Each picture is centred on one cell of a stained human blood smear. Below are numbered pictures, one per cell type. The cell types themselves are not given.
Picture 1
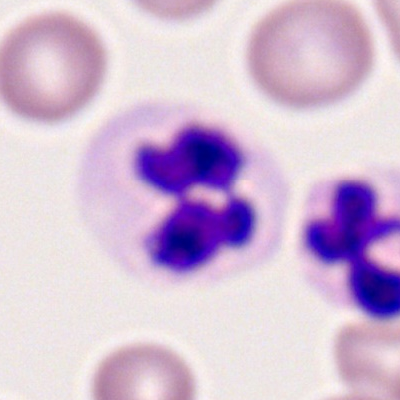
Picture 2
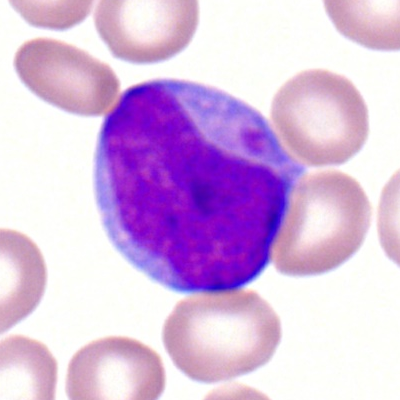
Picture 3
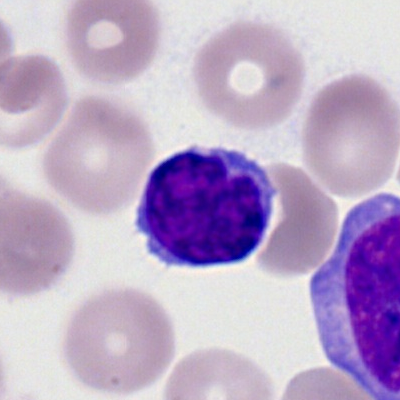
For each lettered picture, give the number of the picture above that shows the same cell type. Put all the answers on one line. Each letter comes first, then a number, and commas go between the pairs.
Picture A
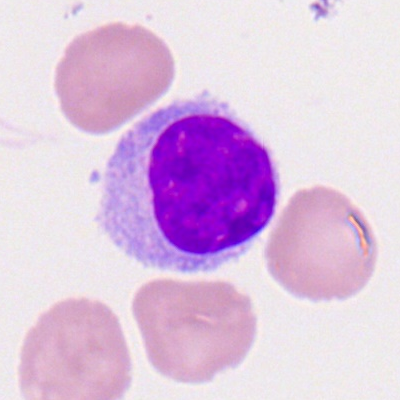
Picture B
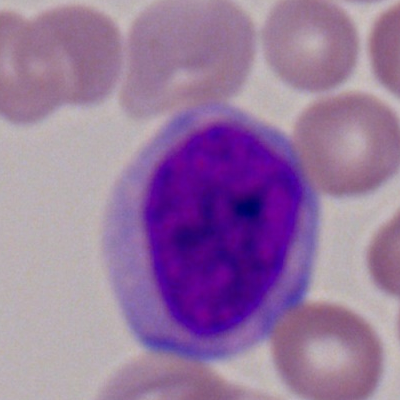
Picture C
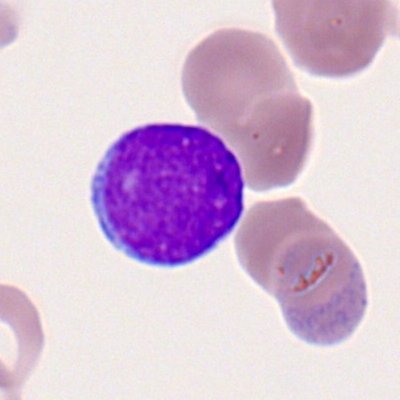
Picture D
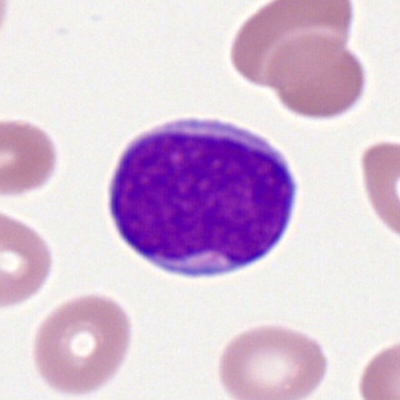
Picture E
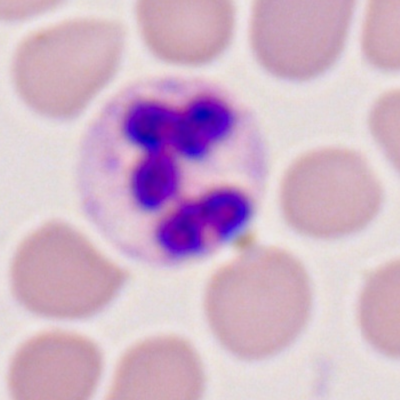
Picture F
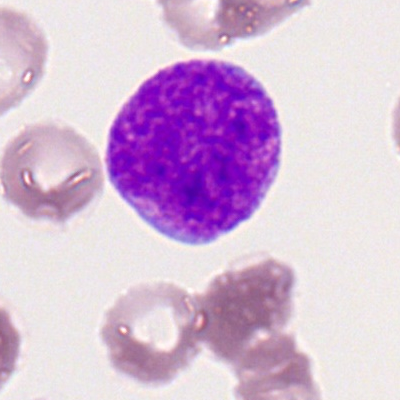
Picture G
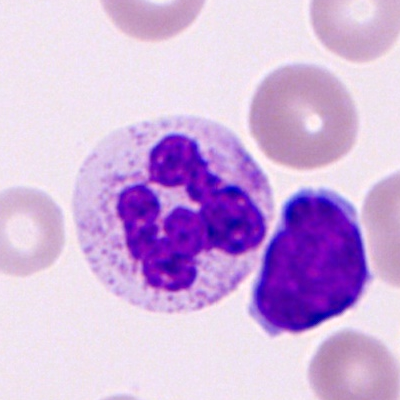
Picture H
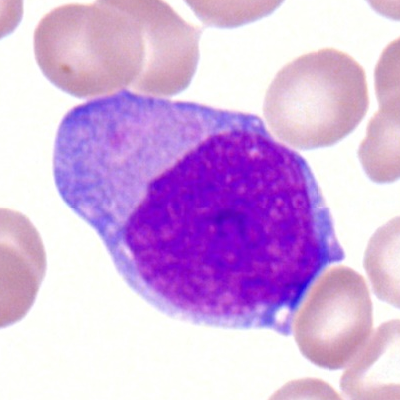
A 3, B 2, C 2, D 2, E 1, F 2, G 1, H 2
